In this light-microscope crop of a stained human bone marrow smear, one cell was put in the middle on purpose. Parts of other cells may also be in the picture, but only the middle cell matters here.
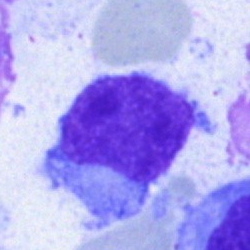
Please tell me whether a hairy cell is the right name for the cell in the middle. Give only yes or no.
yes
